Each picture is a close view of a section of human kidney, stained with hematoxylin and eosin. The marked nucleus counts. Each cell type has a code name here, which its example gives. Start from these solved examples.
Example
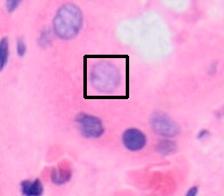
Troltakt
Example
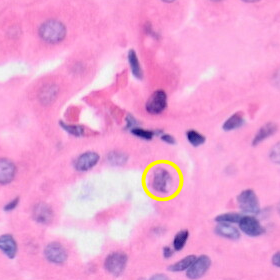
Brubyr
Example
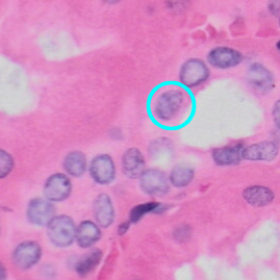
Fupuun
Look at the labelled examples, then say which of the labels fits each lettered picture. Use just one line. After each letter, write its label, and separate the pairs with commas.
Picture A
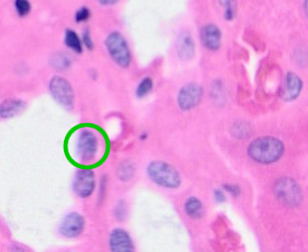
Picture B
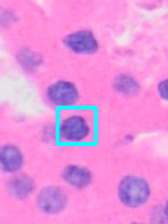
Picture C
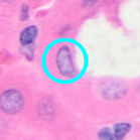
A Brubyr, B Brubyr, C Brubyr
